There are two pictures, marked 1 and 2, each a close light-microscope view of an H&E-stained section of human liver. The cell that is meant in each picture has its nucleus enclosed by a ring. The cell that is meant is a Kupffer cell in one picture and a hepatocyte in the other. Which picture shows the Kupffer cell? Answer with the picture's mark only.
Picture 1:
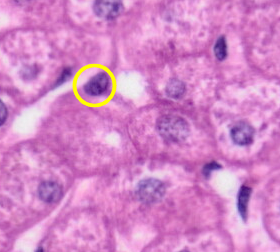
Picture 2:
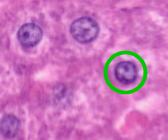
1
